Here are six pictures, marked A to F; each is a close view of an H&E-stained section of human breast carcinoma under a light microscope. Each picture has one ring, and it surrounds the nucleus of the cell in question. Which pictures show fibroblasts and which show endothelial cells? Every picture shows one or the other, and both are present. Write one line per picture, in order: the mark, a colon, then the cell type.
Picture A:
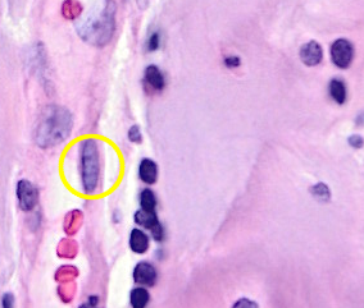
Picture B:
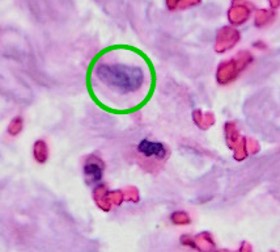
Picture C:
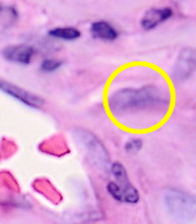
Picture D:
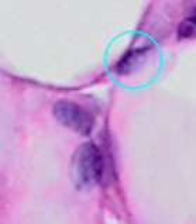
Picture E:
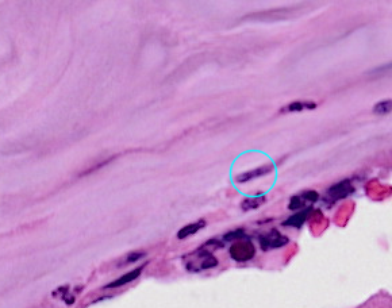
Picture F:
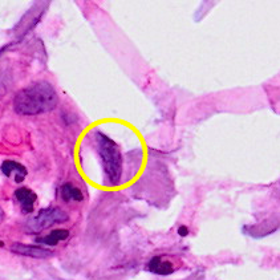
A: endothelial cell
B: fibroblast
C: endothelial cell
D: fibroblast
E: fibroblast
F: fibroblast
